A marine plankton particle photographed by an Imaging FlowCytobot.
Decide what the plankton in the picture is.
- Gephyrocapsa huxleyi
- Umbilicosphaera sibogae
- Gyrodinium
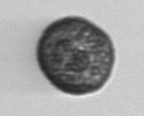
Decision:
Umbilicosphaera sibogae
